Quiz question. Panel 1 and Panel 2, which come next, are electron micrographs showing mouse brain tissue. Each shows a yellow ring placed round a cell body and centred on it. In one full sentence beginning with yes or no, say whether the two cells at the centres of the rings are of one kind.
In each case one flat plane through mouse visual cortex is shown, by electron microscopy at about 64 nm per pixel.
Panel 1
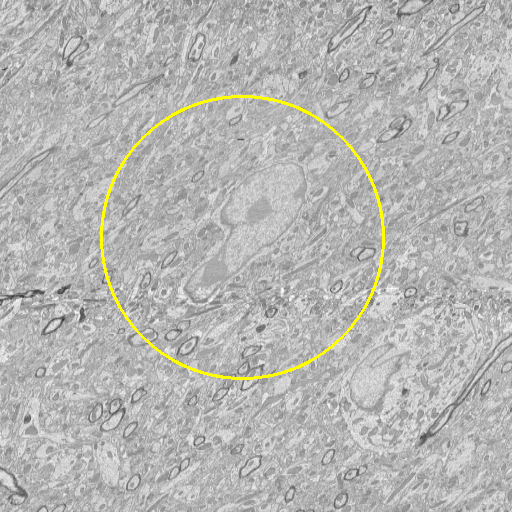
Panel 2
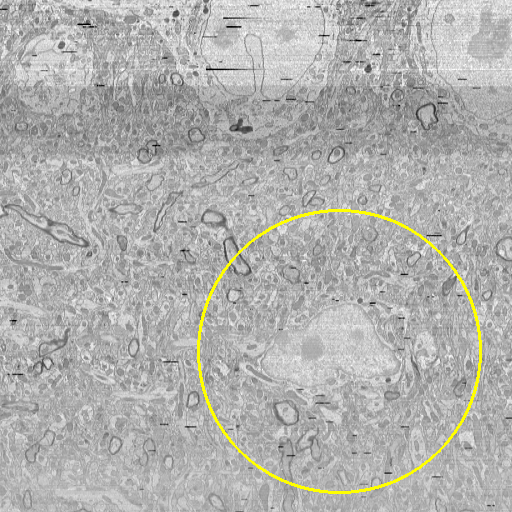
Yes, Panel 1 and Panel 2 show one kind of cell at the centre of the ring.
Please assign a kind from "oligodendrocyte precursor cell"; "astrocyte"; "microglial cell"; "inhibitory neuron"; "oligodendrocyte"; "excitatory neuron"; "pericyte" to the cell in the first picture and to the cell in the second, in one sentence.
Both cells are the same kind, each one being an oligodendrocyte precursor cell.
